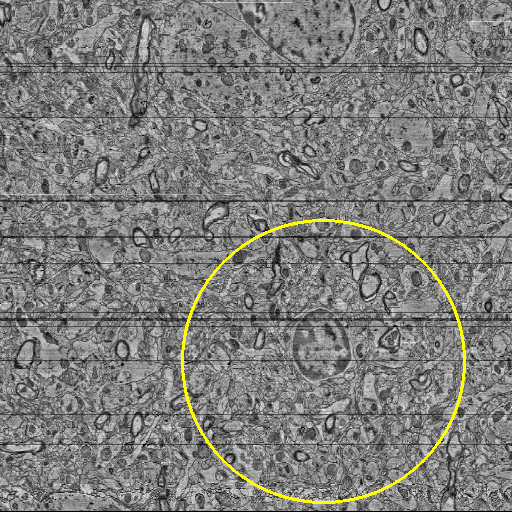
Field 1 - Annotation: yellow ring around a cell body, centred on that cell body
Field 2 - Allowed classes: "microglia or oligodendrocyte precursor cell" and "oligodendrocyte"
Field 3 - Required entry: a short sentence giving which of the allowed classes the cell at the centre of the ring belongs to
The centred cell is a microglial cell or oligodendrocyte precursor cell.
